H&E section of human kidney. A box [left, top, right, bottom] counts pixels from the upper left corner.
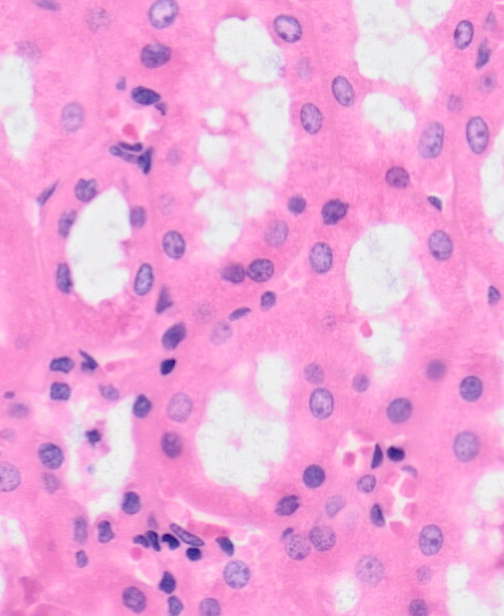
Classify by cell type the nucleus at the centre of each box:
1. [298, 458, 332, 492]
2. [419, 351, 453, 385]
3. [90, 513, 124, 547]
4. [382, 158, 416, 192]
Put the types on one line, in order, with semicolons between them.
proximal tubule cell; proximal tubule cell; loop of Henle or distal tubule cell; proximal tubule cell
